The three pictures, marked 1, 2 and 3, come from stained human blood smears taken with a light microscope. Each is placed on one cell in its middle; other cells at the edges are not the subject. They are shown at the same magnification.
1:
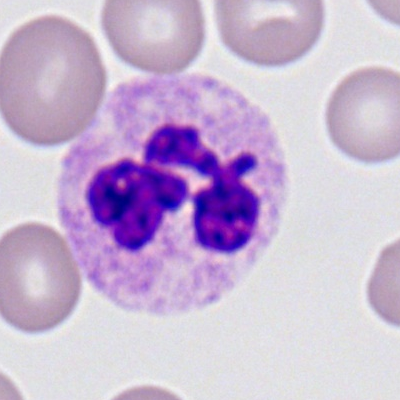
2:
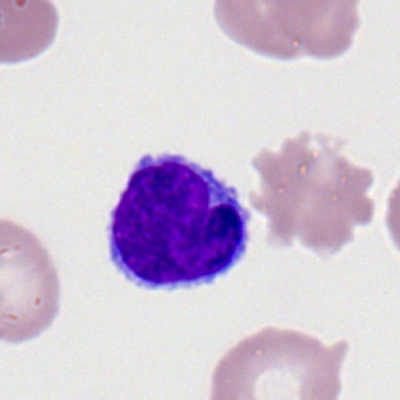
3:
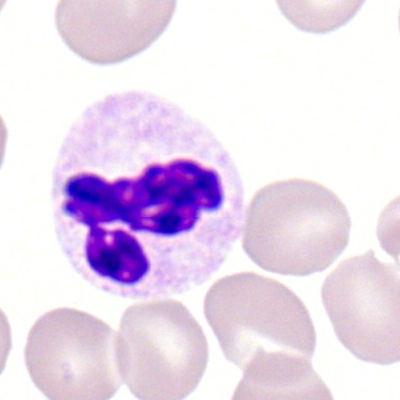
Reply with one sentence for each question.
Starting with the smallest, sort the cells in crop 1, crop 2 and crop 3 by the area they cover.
The order is 2, 3, 1, beginning with the smallest.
